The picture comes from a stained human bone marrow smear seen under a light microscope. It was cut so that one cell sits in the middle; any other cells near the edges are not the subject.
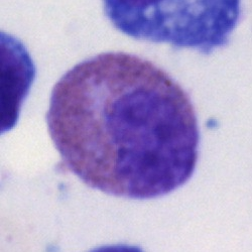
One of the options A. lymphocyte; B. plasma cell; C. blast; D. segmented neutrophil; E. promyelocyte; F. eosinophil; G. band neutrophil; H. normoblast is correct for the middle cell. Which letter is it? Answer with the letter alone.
F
